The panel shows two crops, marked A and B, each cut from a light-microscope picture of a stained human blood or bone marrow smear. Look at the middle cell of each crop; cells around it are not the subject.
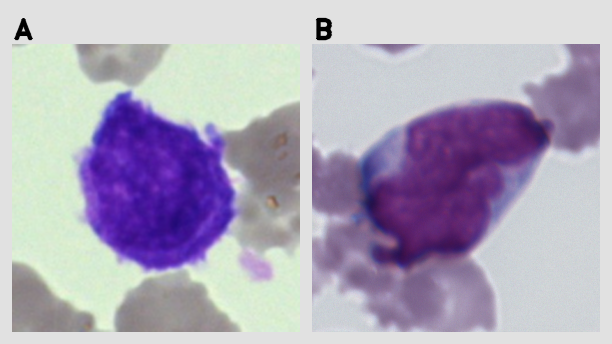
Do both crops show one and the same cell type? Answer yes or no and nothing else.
yes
